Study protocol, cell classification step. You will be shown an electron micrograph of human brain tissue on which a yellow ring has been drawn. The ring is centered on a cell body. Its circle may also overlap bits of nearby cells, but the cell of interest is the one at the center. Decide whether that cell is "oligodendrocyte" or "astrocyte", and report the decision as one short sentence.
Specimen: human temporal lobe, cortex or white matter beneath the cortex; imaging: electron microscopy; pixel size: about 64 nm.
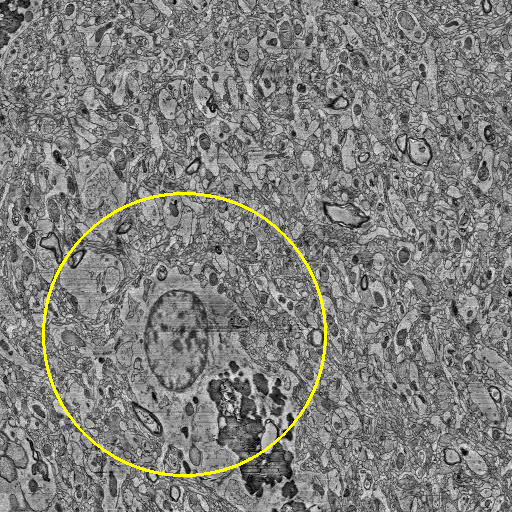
The marked cell is an astrocyte.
